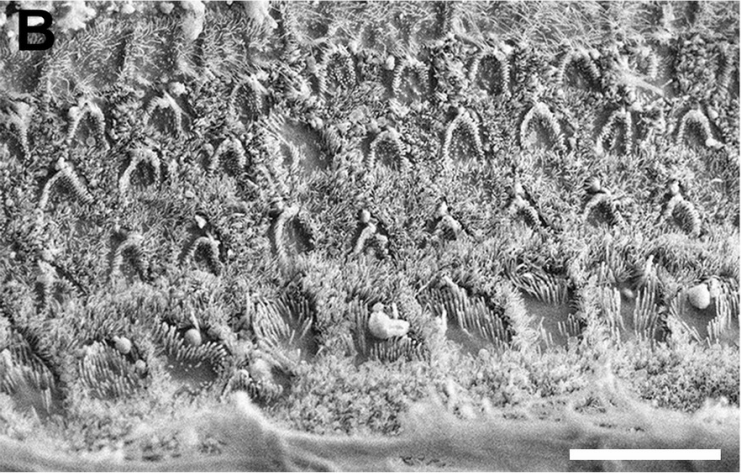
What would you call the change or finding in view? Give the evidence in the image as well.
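Hair bundles in the lower row are irregular fans of separate projections. Many V-shaped bundles are incomplete or irregular. The answer: severely disorganized.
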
